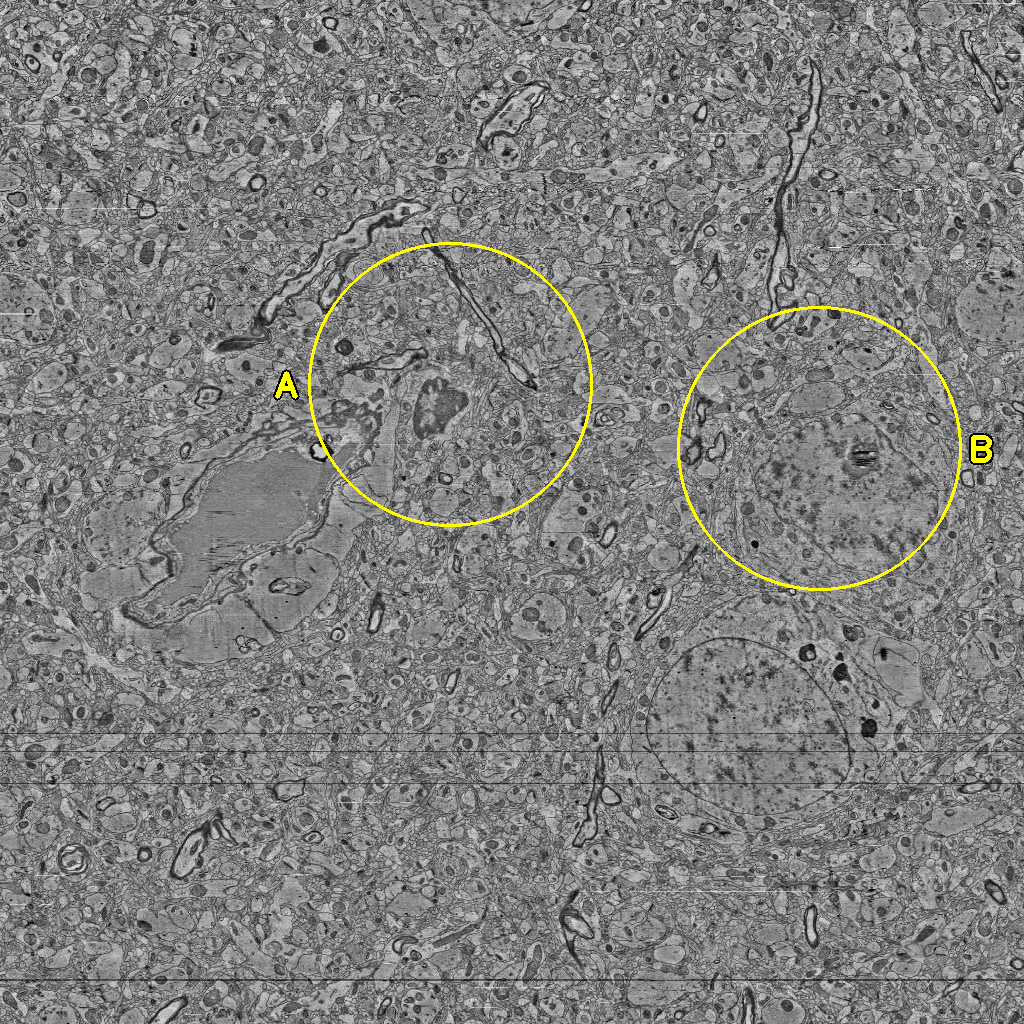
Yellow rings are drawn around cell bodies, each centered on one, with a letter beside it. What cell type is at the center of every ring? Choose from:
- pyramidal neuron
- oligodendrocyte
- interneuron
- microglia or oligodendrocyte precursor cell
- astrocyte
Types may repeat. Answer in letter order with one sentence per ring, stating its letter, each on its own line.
The cell at the center of ring A is a microglial cell or oligodendrocyte precursor cell.
The cell at the center of ring B is an interneuron.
